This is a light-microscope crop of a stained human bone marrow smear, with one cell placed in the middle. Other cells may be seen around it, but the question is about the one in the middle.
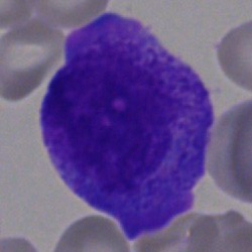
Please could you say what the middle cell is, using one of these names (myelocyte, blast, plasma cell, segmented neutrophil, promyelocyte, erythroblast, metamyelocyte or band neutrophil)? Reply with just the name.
blast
